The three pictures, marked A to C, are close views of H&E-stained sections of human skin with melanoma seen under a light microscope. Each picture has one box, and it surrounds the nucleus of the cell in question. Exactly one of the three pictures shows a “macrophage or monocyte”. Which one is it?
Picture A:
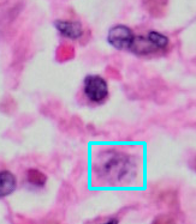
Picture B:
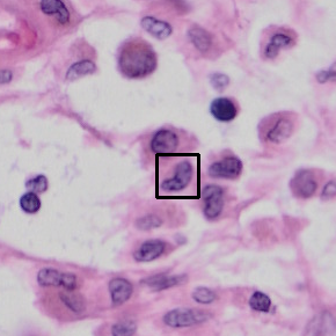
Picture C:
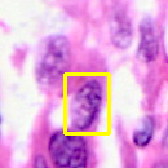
B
